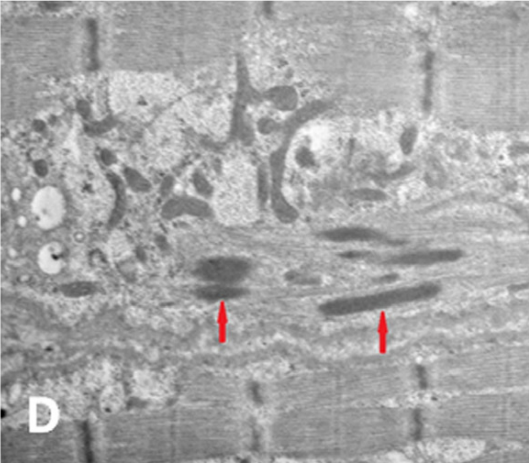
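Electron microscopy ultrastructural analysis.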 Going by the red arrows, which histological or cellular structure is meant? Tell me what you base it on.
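Dark, electron-dense, elongated rod-shaped bodies lie at the arrows. The rods run parallel to the long axis of the myofibrils. Their density resembles that of the dark Z-lines of neighbouring sarcomeres.
Nemaline rods.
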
